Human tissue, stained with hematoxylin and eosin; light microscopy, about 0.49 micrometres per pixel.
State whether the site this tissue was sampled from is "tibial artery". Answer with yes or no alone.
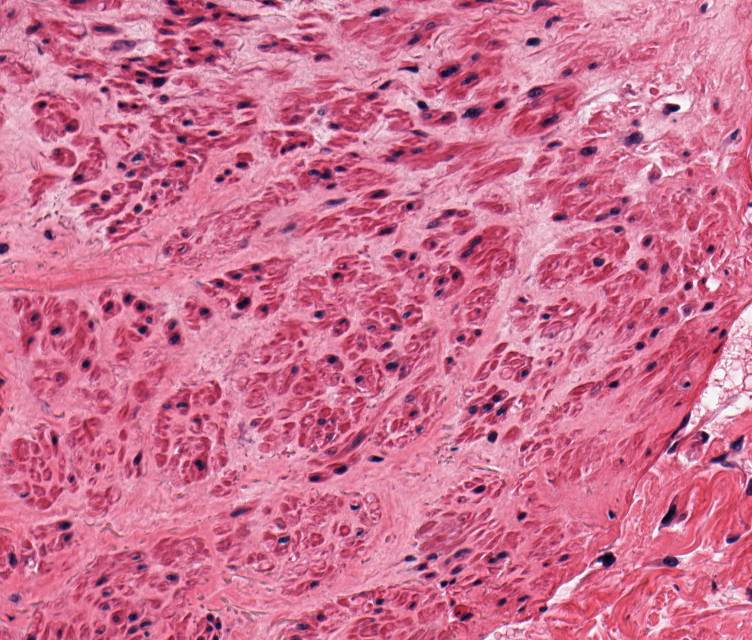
yes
